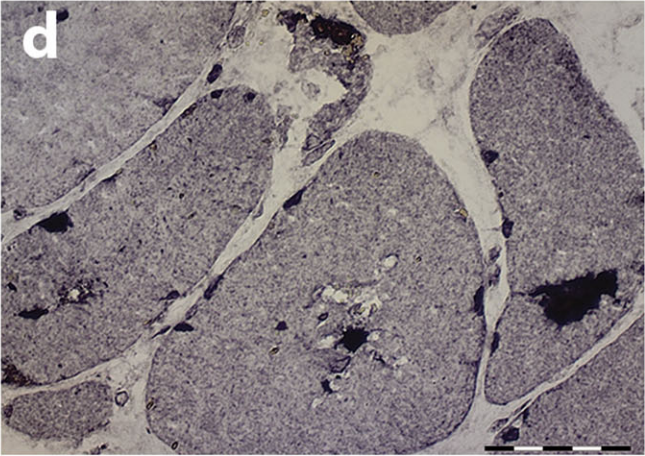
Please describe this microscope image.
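Here are several skeletal muscle fibers in cross-section, rounded to polygonal, closely packed and divided by thin pale septa of connective tissue. Their sarcoplasm is evenly grey and finely granular. In some fibers there are dense, irregular blue-black deposits, one large one on the right and smaller ones near the edges of fibers on the left. One central fiber has a patch of pale, vacuolated-looking areas with a small dark deposit among them. The deposits are focal and do not occur in every fiber.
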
